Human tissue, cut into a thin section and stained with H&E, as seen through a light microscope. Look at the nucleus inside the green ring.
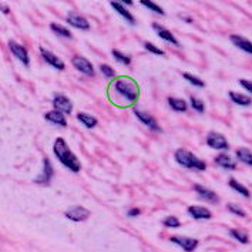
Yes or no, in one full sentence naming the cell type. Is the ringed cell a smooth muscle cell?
Yes, the ringed cell in this section represents a smooth muscle cell.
